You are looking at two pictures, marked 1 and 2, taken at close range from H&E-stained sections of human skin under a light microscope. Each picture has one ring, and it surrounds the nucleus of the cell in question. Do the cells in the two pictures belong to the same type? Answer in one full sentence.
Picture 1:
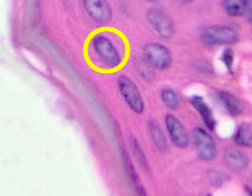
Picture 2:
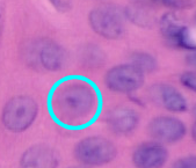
Yes, both are suprabasal keratinocytes.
